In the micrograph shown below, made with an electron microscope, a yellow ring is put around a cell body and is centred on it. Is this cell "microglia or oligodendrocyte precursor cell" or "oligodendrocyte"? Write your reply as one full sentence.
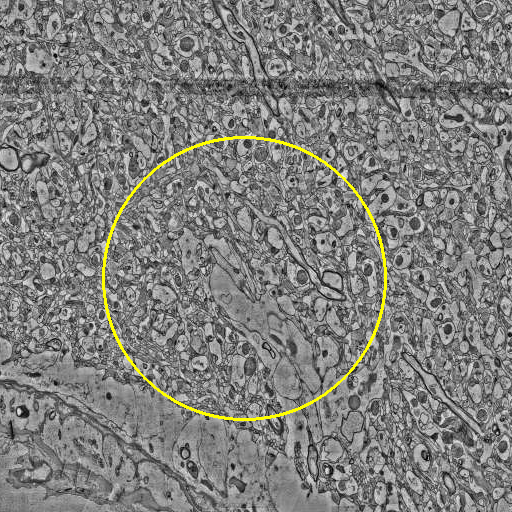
In the micrograph, an oligodendrocyte is the cell at the centre of the yellow ring.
